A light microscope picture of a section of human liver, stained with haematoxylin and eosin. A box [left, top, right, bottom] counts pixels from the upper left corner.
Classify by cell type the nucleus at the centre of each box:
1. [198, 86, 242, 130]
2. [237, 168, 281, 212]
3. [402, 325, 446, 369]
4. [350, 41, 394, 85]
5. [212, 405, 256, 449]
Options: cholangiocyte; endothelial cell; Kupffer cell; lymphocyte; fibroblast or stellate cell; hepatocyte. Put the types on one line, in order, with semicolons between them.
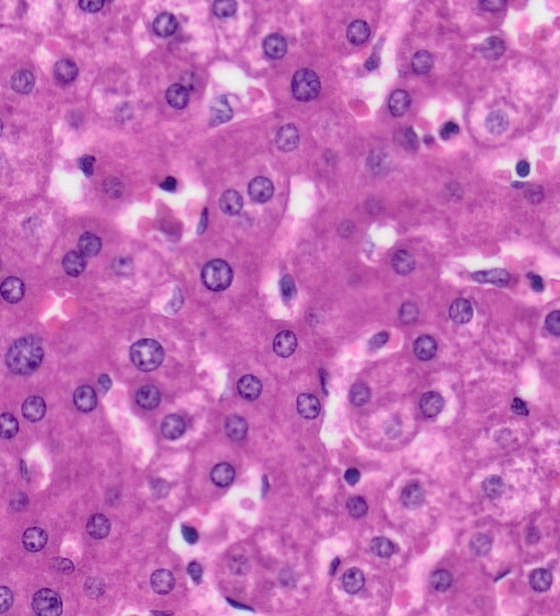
Kupffer cell; hepatocyte; hepatocyte; Kupffer cell; hepatocyte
